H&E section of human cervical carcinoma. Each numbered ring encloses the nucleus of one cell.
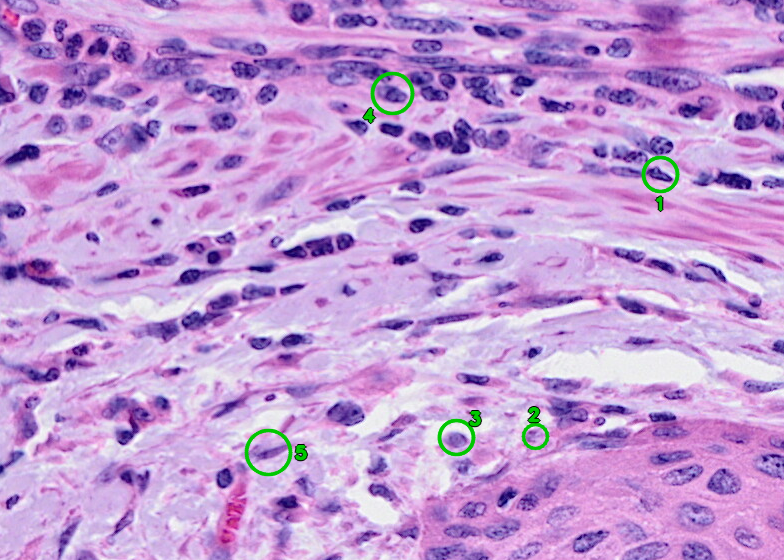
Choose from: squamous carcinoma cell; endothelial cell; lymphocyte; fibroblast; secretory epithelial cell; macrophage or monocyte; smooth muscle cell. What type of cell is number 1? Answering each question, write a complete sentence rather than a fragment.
The correct answer for cell 1 is a lymphocyte.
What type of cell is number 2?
The cell marked with the number 2 is a fibroblast.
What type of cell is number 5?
Number 5 among the marked cells is a fibroblast.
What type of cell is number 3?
The cell that carries the label 3 is a fibroblast.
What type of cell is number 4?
The cell identified by number 4 is a lymphocyte.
